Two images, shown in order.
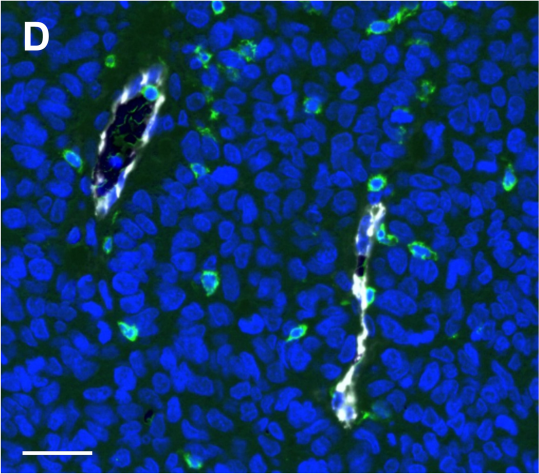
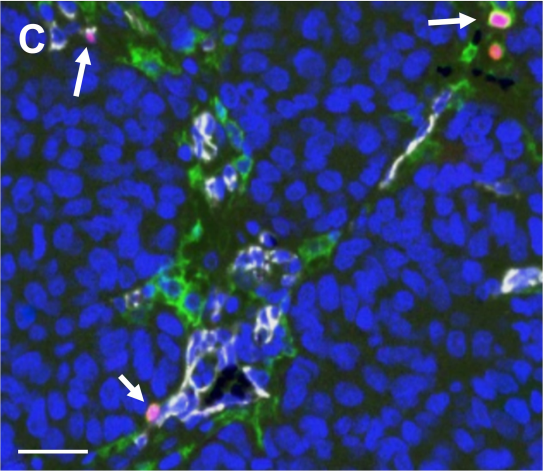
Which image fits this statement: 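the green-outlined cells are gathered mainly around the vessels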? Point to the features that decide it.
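First image: small green-ringed cells are scattered singly across the field, many away from the white vessels. Second image: green staining is concentrated in clusters hugging the white-lined vessels.
The second image.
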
